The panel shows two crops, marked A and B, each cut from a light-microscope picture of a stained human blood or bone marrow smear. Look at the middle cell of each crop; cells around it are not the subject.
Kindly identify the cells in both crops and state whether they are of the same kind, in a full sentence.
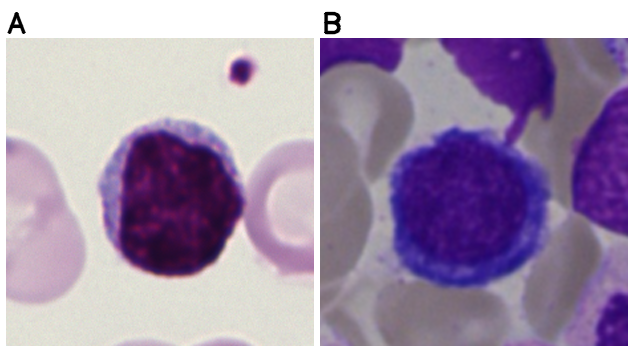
No, the cell shown in crop A is a lymphocyte, and the cell shown in crop B is a normoblast.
